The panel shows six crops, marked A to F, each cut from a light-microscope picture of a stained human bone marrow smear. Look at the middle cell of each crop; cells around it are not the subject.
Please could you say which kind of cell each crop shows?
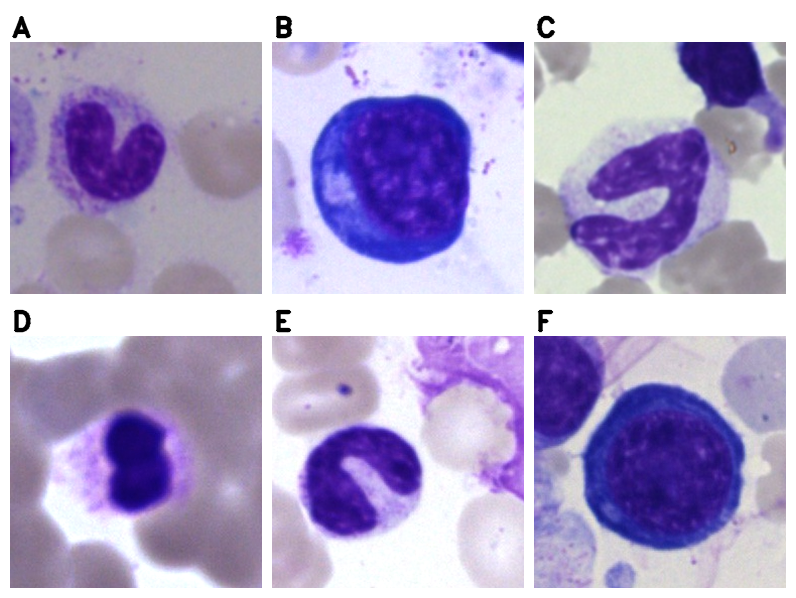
A: band neutrophil
B: proerythroblast
C: band neutrophil
D: segmented neutrophil
E: band neutrophil
F: proerythroblast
